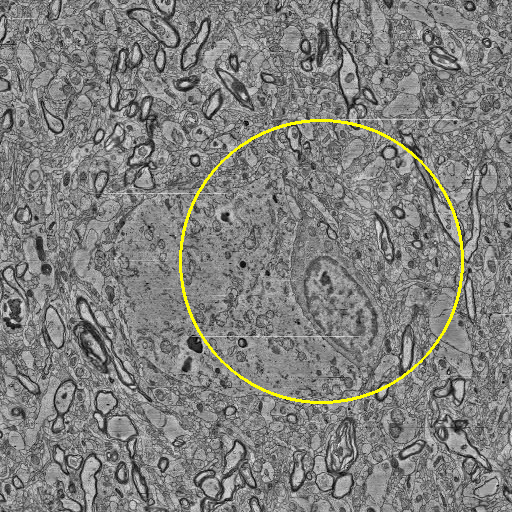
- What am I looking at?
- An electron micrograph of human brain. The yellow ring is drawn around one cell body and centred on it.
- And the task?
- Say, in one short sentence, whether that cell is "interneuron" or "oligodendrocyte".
The cell in the middle of the ring is an oligodendrocyte.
